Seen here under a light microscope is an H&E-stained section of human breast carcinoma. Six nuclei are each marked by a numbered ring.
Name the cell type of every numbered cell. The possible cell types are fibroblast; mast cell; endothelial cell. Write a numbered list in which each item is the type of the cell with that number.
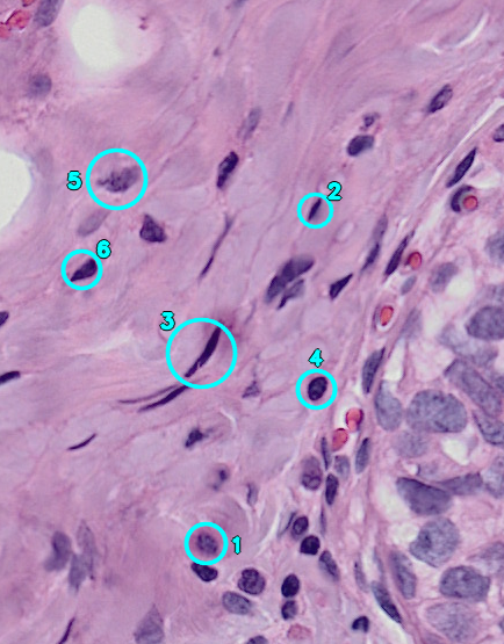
1. mast cell
2. fibroblast
3. fibroblast
4. mast cell
5. fibroblast
6. fibroblast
